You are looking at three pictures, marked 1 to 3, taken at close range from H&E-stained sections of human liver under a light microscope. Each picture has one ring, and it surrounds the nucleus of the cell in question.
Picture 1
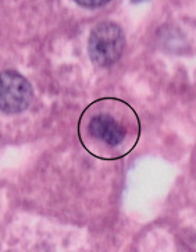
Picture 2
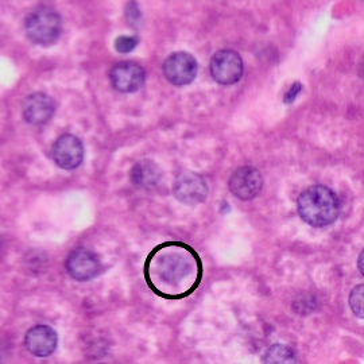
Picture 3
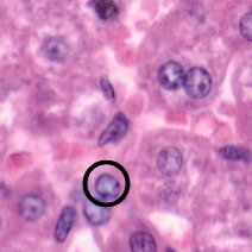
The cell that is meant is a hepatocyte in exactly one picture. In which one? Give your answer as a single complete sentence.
The cell in picture 2 is the hepatocyte.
